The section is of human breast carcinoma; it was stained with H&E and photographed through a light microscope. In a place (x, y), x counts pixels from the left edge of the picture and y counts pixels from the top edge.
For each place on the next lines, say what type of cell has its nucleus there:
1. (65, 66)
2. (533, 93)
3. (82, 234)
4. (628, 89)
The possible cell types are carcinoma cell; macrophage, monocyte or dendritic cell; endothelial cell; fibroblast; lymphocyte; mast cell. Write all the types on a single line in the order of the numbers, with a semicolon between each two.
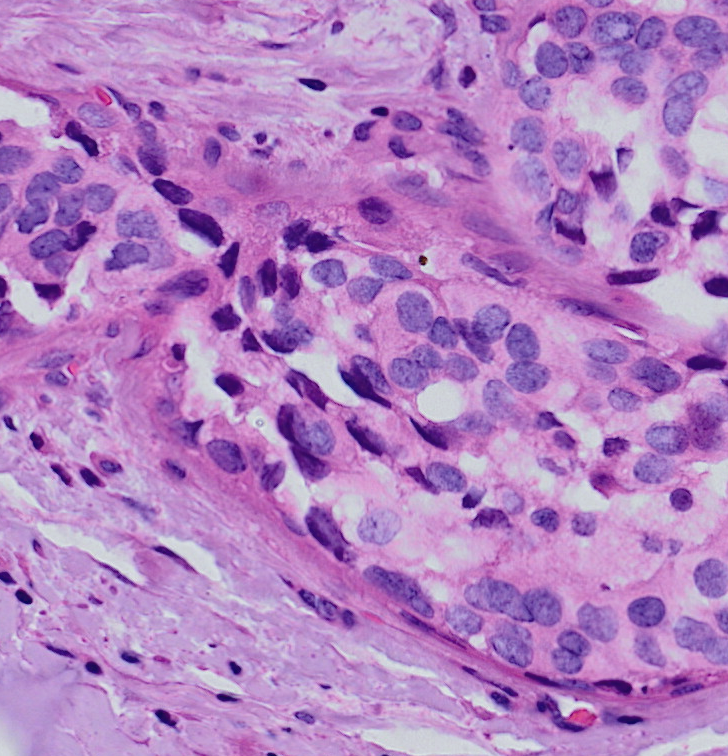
fibroblast; carcinoma cell; carcinoma cell; carcinoma cell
